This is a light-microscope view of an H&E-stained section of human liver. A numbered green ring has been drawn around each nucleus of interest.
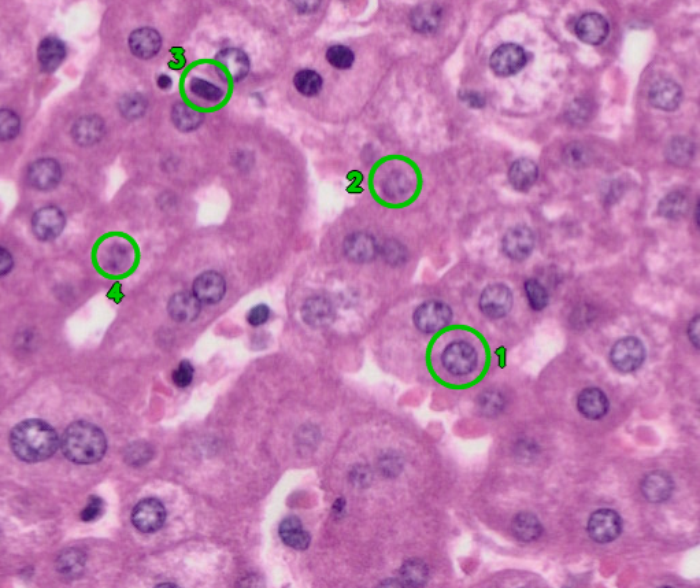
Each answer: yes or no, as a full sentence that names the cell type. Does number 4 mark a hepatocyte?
Yes, the cell to which number 4 refers is a hepatocyte.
